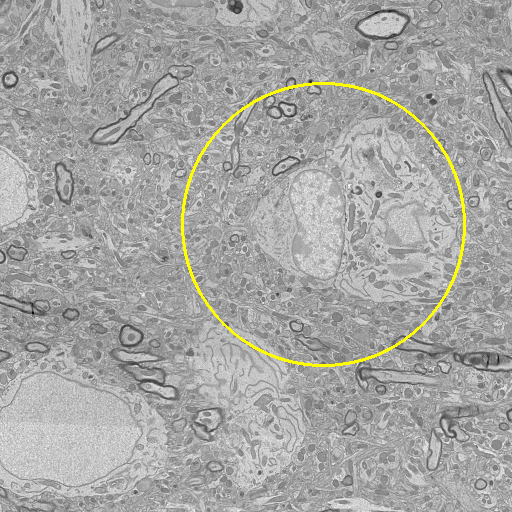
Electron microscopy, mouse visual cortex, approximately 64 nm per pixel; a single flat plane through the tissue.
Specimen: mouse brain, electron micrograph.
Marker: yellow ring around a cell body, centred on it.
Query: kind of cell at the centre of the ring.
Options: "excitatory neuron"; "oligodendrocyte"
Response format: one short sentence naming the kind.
This cell body belongs to an oligodendrocyte.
